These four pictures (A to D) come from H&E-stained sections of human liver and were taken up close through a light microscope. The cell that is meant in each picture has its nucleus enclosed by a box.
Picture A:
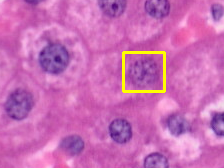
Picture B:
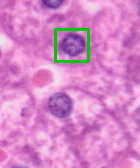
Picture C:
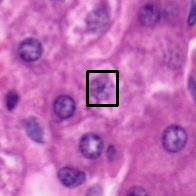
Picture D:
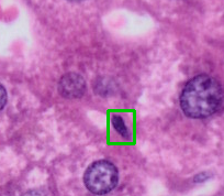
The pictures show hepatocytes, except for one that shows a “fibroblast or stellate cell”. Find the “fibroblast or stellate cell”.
D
